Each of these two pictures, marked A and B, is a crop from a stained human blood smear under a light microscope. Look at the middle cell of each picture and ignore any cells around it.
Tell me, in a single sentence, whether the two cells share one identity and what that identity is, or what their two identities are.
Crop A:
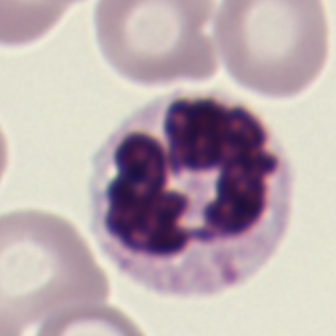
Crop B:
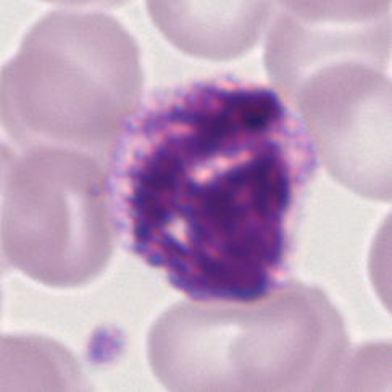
No, the cell centred in crop A is a segmented neutrophil, and that centred in crop B is a basophil.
